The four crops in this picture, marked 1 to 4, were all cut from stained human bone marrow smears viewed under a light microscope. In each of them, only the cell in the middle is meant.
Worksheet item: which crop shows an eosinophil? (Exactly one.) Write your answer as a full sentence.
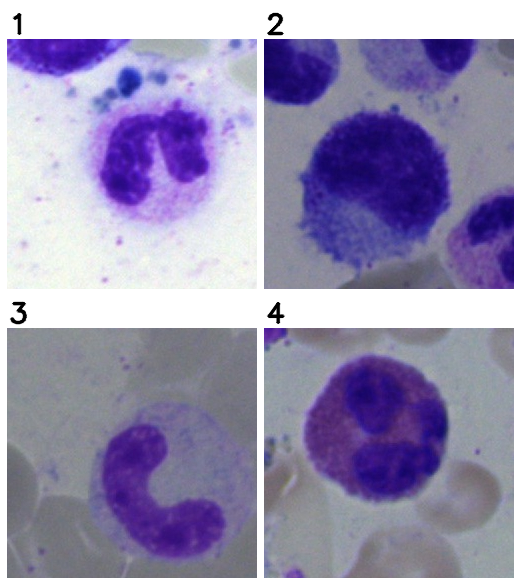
Crop 4 is the crop that shows an eosinophil in its middle.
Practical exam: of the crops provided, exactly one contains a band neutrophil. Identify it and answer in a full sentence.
The crop marked 3 is the one in which a band neutrophil is shown.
